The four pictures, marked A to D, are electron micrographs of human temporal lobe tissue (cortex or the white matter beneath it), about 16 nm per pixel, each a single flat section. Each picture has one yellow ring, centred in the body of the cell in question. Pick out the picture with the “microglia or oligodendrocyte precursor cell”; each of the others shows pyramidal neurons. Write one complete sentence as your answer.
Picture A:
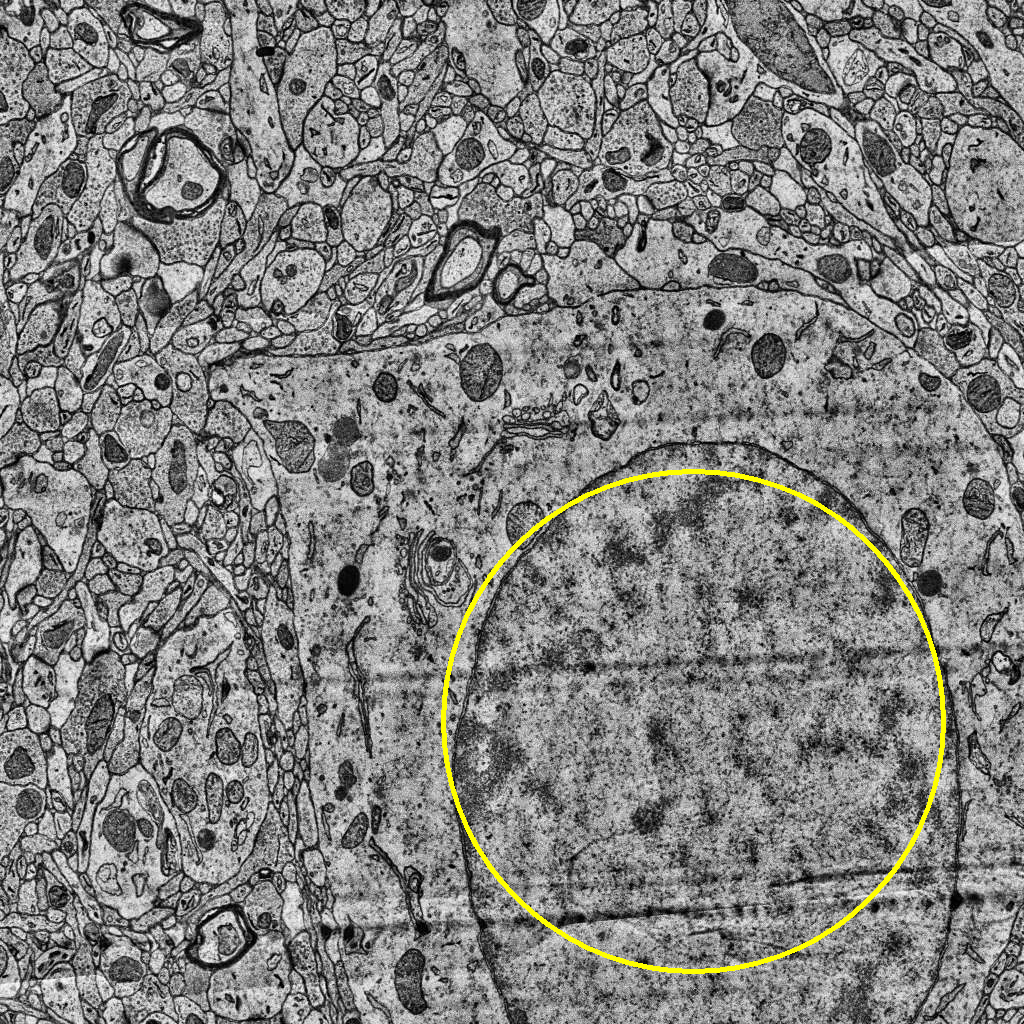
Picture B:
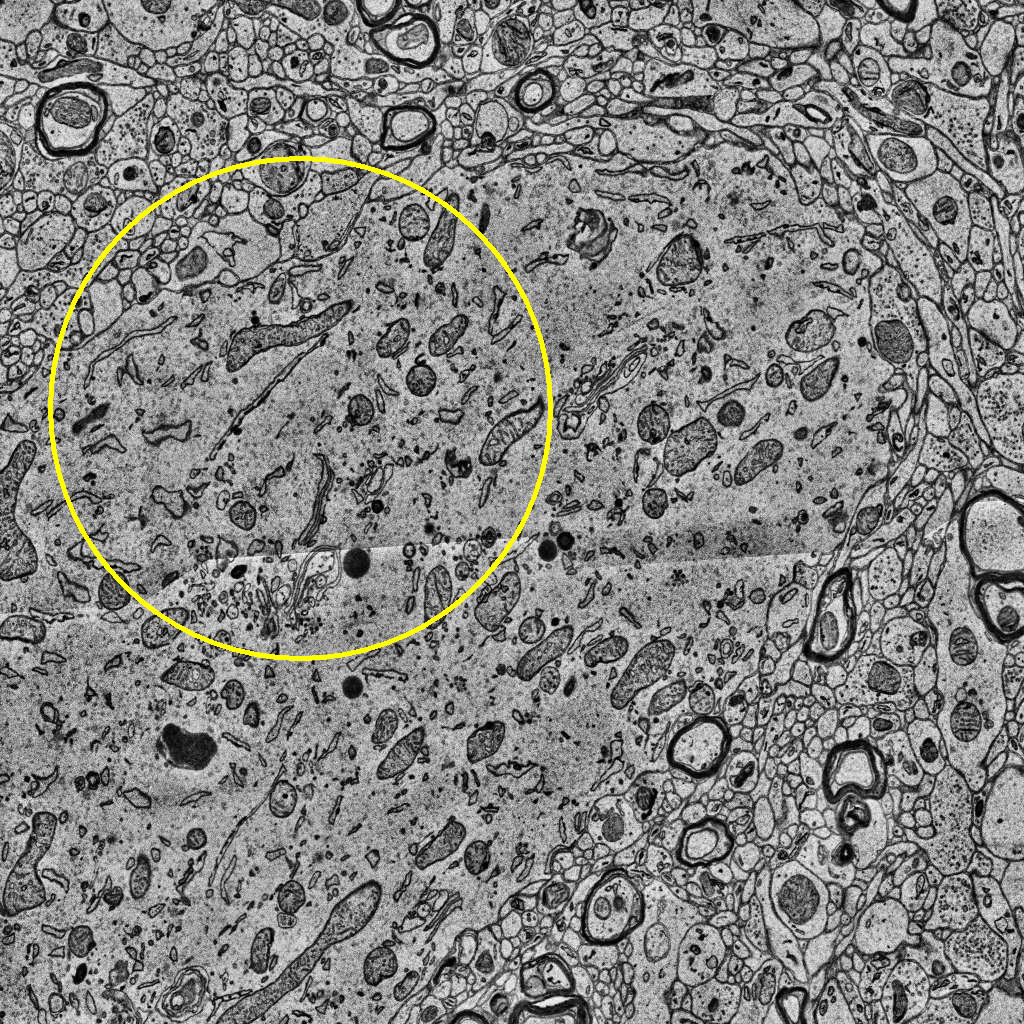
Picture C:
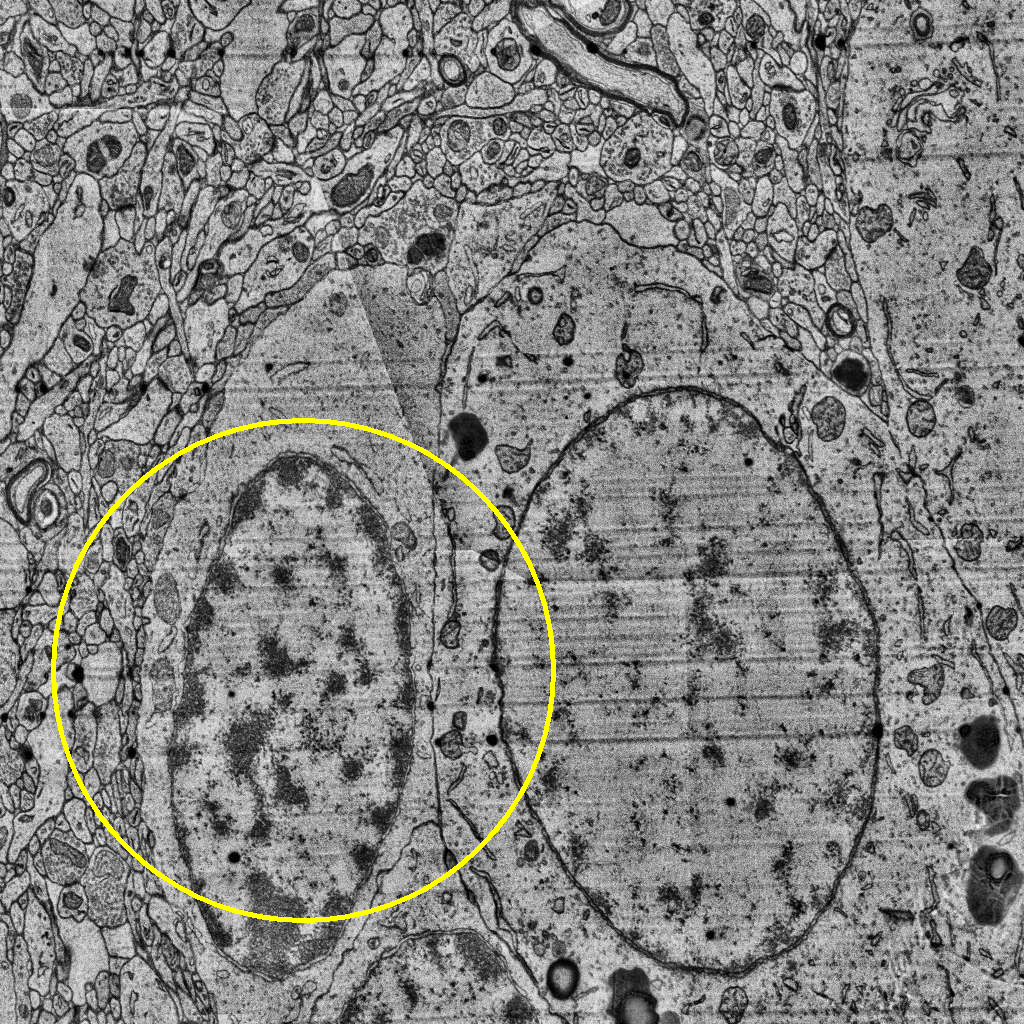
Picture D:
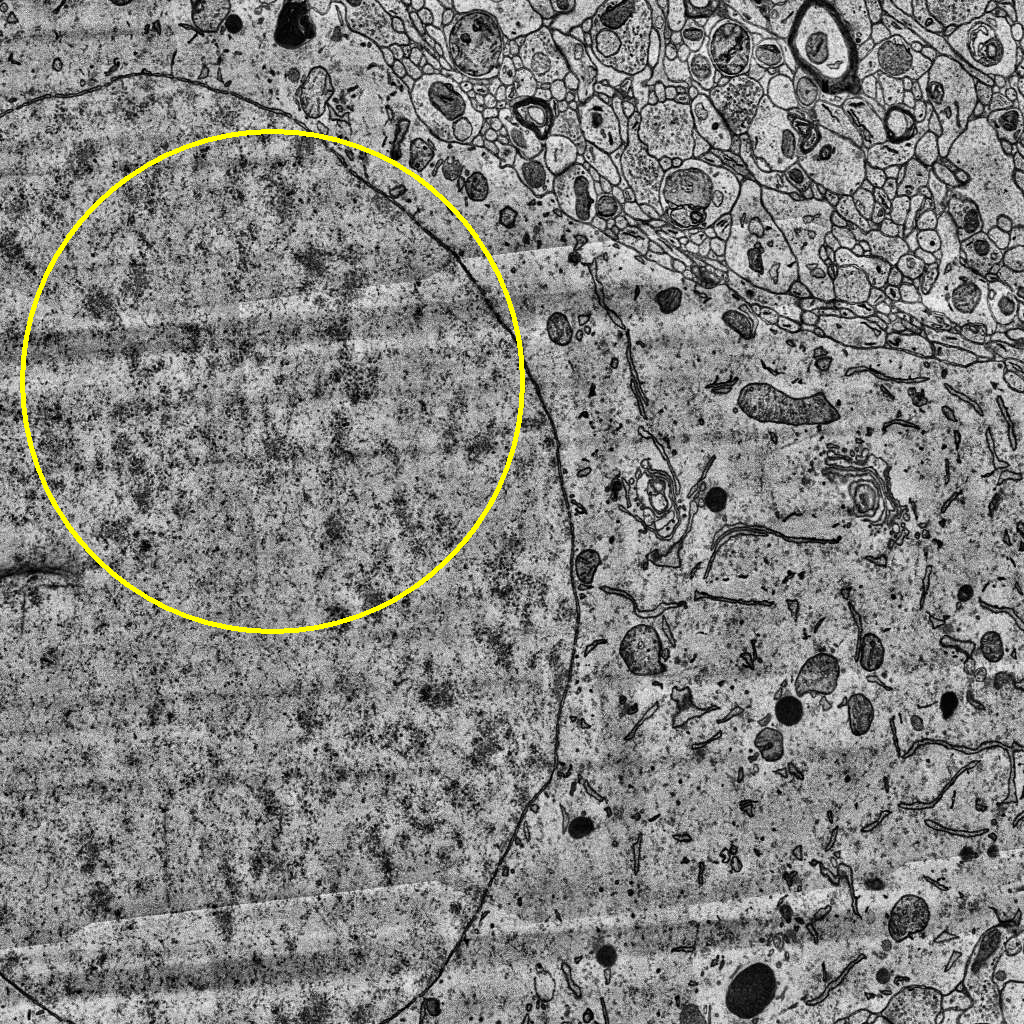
The “microglia or oligodendrocyte precursor cell” is the one in picture C.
